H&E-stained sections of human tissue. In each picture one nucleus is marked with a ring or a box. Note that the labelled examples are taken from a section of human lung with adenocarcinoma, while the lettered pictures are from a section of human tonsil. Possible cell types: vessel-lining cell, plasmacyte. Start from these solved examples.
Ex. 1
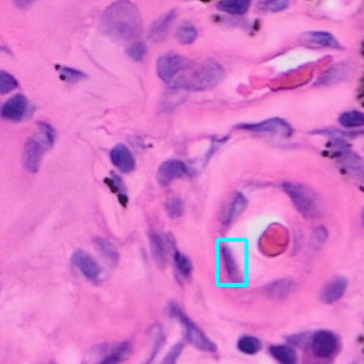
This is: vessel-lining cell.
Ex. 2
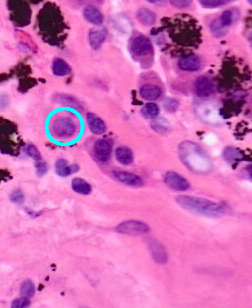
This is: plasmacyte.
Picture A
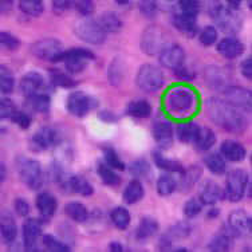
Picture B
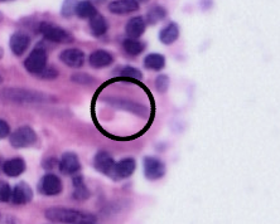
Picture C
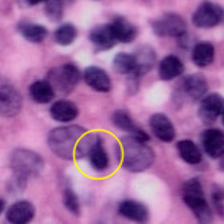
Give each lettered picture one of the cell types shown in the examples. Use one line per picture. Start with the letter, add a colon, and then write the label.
A: vessel-lining cell.
B: vessel-lining cell.
C: vessel-lining cell.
